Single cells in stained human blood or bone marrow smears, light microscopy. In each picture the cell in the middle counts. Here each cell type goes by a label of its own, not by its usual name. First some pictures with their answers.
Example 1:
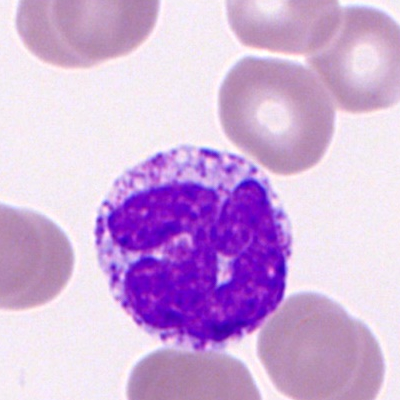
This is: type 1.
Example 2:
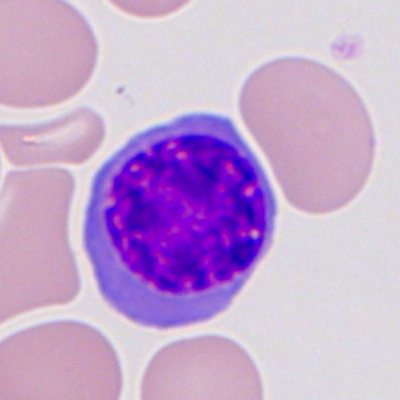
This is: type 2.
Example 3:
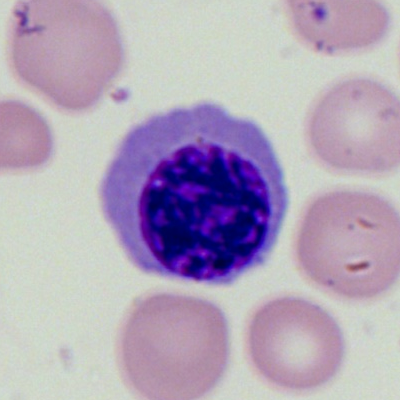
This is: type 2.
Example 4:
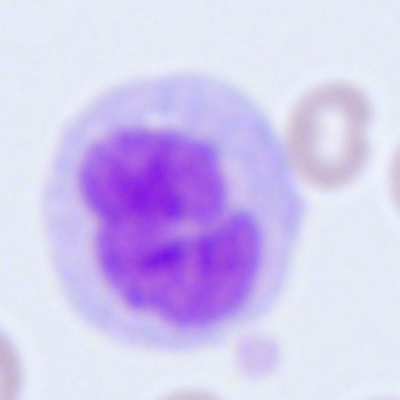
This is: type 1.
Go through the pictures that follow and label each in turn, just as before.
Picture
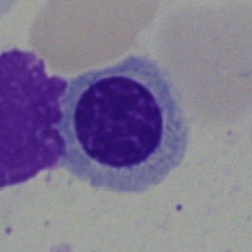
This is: type 2.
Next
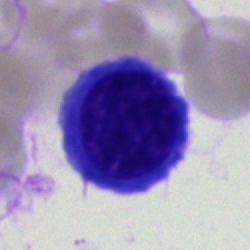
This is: type 2.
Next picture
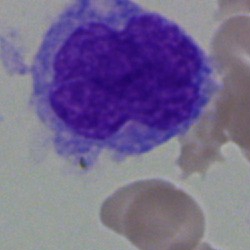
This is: type 1.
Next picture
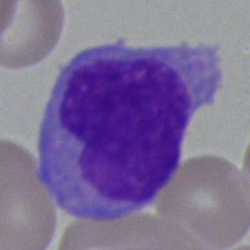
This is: type 1.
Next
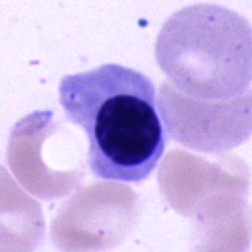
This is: type 2.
